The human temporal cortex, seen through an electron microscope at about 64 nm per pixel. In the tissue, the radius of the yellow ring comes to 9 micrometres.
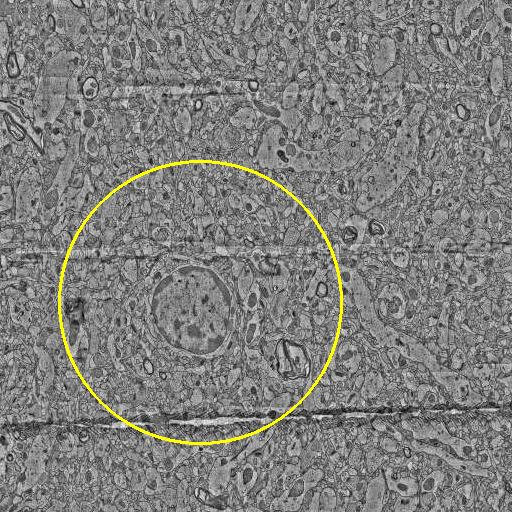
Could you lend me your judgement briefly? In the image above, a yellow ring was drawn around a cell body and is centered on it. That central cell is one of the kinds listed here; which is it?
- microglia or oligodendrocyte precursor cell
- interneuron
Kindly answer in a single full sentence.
Going by the list, a microglial cell or oligodendrocyte precursor cell is the kind at the ring's center in the picture.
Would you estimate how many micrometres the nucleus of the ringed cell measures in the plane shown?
Roughly 5 micrometres across, measured in this plane.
